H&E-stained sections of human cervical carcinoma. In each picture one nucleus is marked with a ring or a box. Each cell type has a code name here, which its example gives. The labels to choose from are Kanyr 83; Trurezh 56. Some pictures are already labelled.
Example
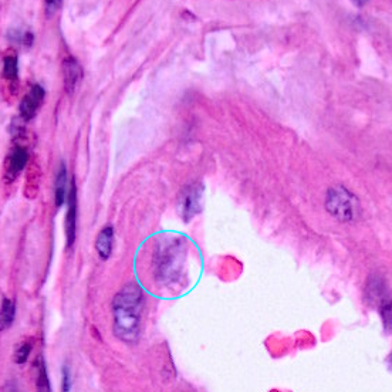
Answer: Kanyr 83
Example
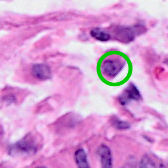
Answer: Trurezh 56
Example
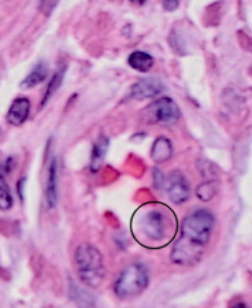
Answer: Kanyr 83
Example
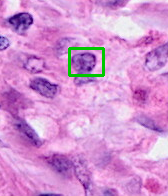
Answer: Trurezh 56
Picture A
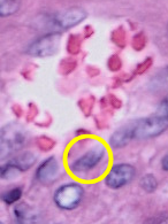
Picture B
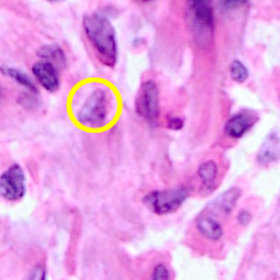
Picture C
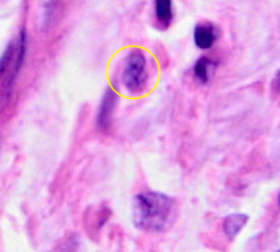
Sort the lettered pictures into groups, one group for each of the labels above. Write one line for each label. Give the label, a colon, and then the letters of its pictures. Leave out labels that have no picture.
Kanyr 83: A
Trurezh 56: B, C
